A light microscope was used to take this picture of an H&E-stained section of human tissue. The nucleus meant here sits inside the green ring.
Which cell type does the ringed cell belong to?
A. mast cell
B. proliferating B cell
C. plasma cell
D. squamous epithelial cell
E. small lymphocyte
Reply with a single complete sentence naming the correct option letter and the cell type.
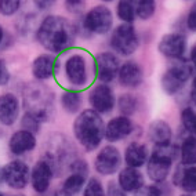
Hey, it is option E: the ringed cell is a small lymphocyte.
